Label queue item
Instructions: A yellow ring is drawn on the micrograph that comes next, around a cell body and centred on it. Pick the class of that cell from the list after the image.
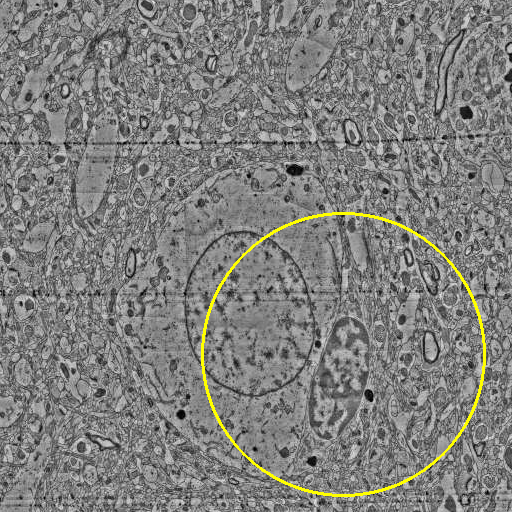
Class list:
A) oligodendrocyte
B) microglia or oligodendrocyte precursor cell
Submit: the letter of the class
B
